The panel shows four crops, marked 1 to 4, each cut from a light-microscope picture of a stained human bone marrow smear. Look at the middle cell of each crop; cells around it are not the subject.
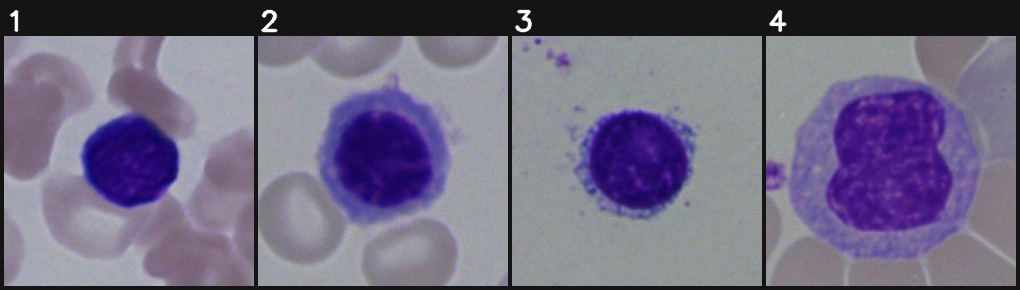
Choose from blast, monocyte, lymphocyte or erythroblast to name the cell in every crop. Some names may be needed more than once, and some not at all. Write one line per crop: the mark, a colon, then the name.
1: lymphocyte
2: erythroblast
3: lymphocyte
4: monocyte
